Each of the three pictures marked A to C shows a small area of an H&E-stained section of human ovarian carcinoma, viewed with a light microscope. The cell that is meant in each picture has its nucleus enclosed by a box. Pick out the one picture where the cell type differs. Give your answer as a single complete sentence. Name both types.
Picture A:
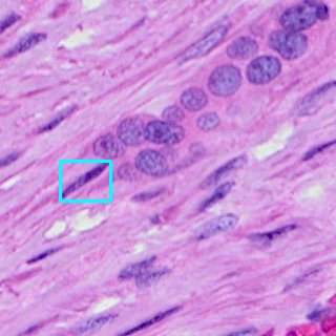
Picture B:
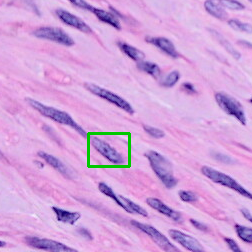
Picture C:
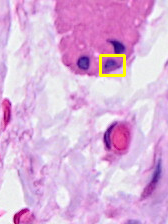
The others show smooth muscle cells, but picture A shows a fibroblast.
